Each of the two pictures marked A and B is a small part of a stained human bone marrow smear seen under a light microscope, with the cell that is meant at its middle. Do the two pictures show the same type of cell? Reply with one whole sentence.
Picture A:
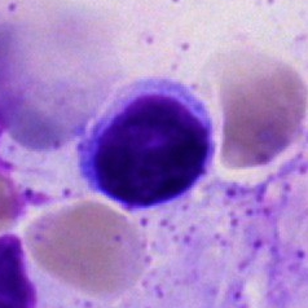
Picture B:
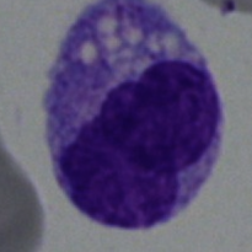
No, picture A shows a lymphocyte and picture B shows a monocyte.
